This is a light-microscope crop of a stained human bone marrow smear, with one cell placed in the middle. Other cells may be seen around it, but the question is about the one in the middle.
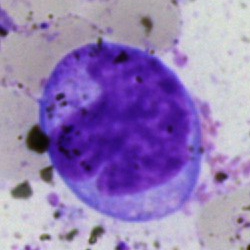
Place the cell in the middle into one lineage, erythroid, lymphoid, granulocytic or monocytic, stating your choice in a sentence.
Of monocytic lineage is the cell at the center of the crop.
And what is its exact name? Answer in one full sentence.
The cell positioned in the middle of the field is a monocyte.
